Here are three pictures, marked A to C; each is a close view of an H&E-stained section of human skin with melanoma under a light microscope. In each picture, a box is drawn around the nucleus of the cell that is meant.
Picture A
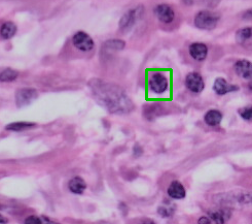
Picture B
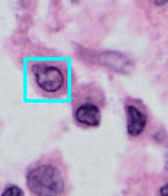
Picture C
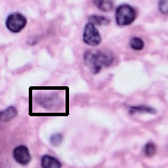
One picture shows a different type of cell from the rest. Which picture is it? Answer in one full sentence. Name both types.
The different one is picture A; it shows a plasma cell, whereas all the others show “macrophages or monocytes”.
